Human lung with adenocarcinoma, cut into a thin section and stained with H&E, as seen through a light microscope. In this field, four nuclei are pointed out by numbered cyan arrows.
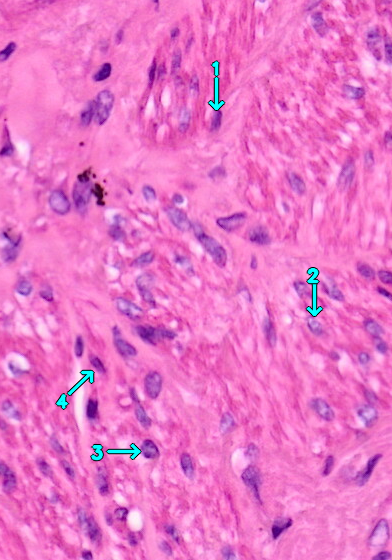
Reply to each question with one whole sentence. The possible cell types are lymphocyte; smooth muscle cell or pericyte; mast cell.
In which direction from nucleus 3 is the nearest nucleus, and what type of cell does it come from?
It is a smooth muscle cell or pericyte, whose nucleus lies above nucleus 3.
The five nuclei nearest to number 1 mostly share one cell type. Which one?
Smooth muscle cells or pericytes account for more than half of the five nuclei nearest to number 1.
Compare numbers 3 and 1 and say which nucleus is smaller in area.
Number 1 is smaller, since number 3 takes up about 2 times as much area.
